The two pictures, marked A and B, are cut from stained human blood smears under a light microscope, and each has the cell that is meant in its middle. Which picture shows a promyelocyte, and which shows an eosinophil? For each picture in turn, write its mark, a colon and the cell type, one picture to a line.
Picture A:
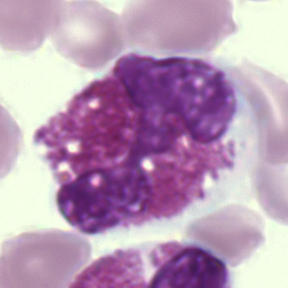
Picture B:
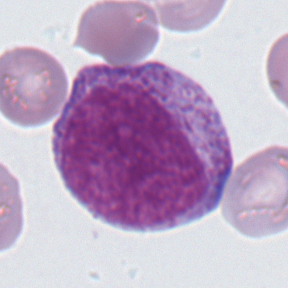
A: eosinophil
B: promyelocyte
